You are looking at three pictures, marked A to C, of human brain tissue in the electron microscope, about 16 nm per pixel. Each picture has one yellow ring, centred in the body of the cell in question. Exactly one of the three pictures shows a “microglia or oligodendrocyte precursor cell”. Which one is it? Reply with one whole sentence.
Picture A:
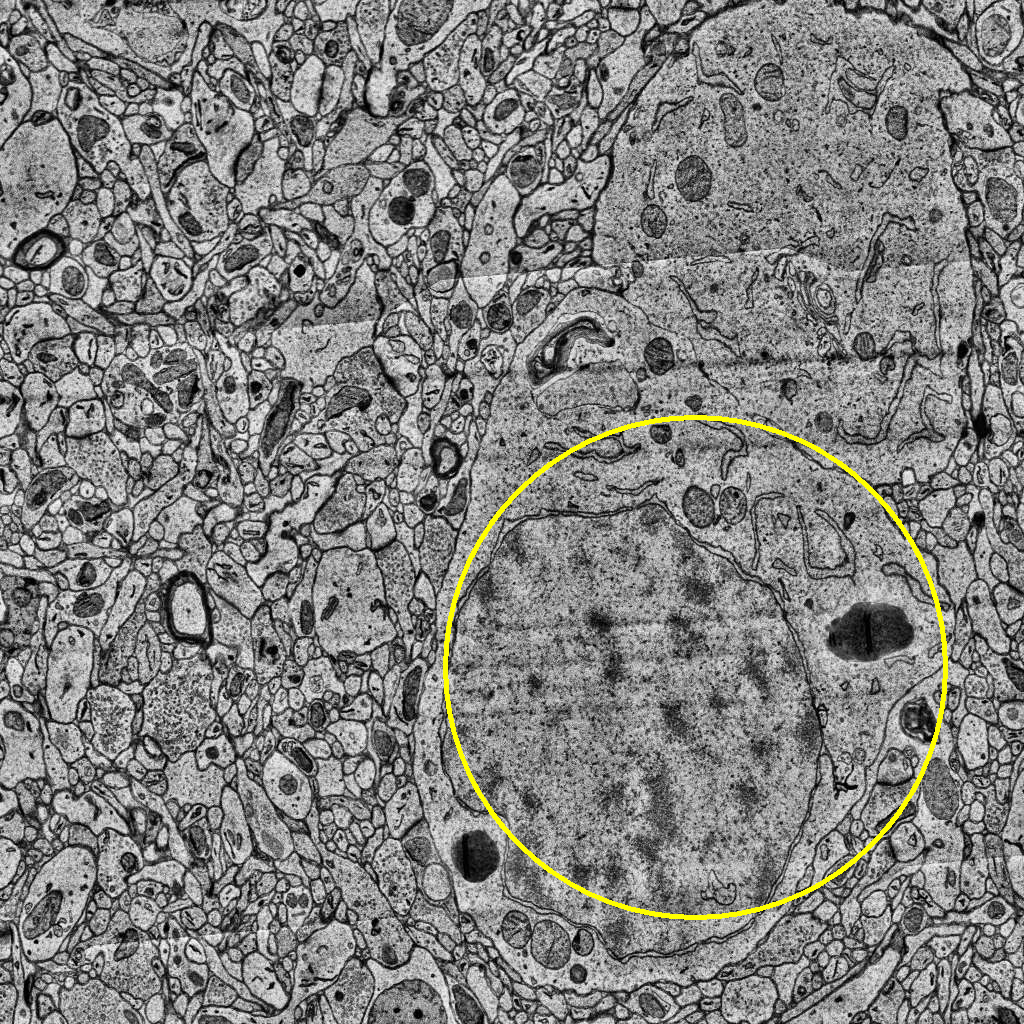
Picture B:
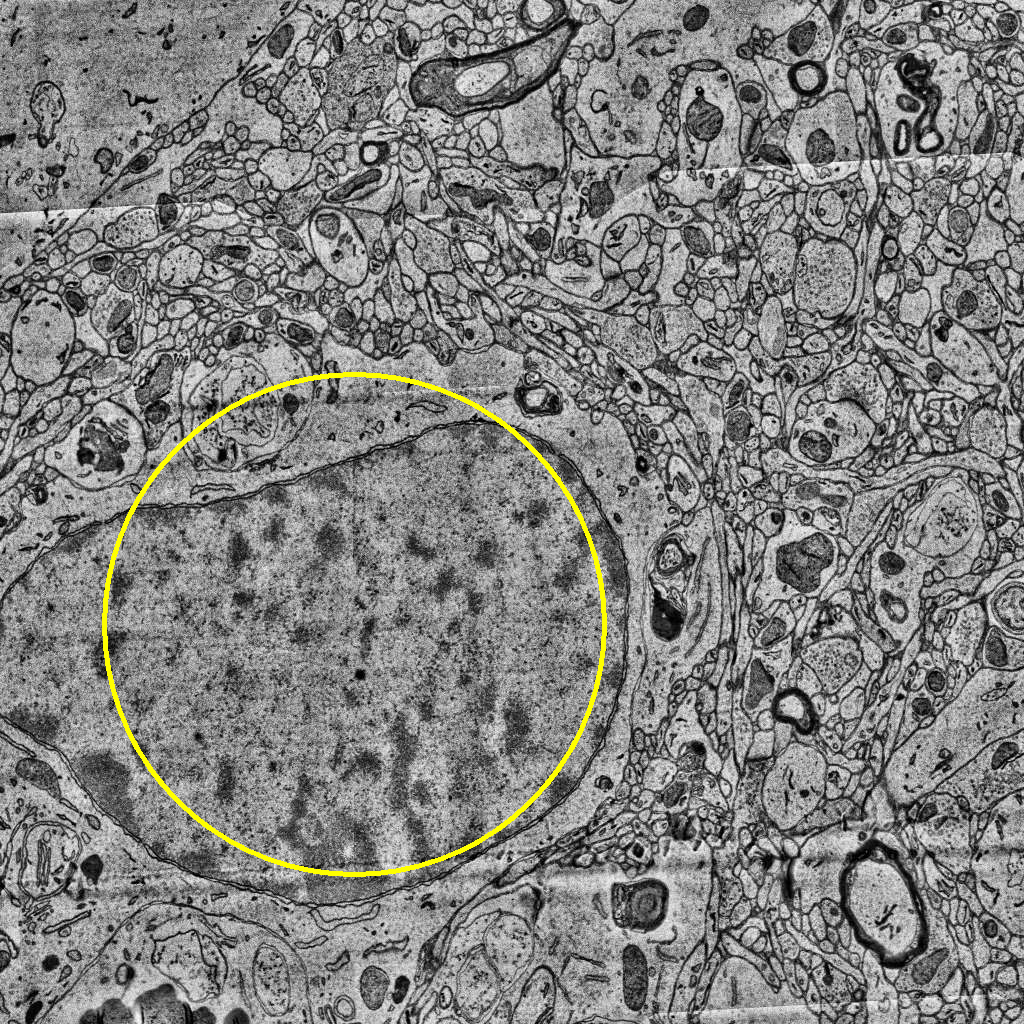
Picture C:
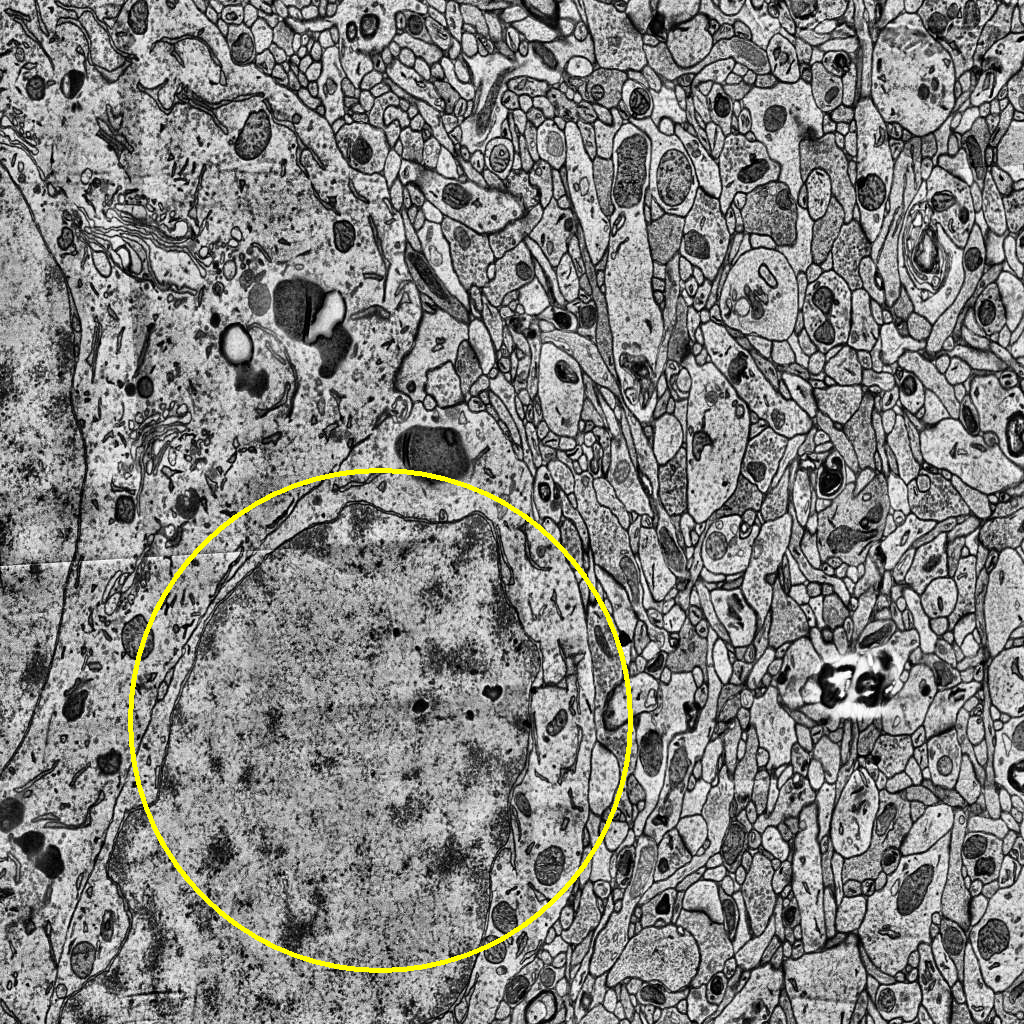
Picture B shows the “microglia or oligodendrocyte precursor cell”.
